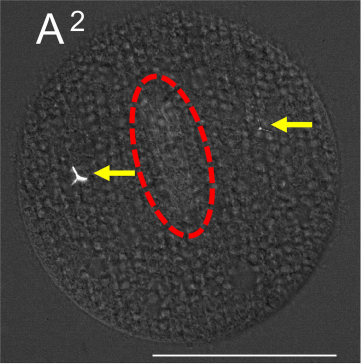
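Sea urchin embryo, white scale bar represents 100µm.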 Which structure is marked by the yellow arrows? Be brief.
Tri-radiate spicules.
